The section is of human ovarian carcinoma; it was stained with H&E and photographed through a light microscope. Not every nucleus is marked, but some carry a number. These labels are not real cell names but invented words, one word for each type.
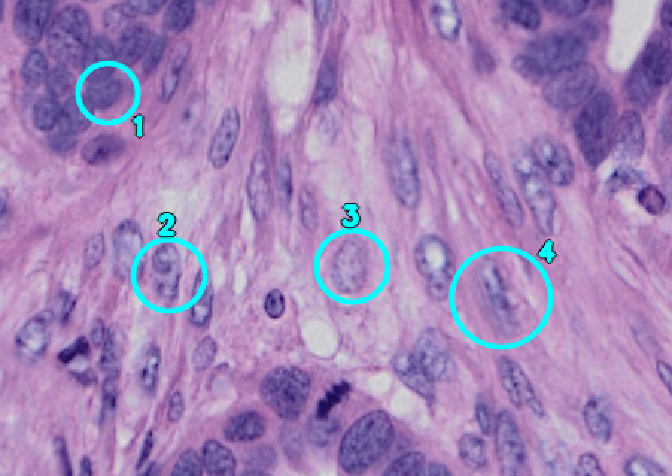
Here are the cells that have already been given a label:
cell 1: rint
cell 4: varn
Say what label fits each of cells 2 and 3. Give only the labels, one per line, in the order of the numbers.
varn
varn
